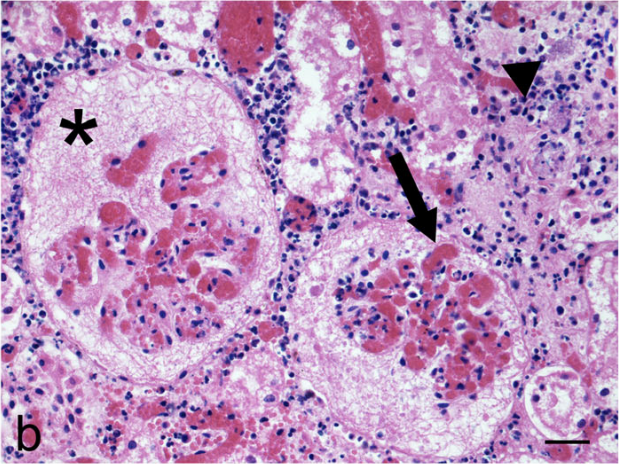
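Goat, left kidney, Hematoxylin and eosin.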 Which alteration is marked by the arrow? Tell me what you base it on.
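Congestion and dilation of glomerular capillary loop. Glomerular capillary loops are distended and packed with red material. The glomerular tufts are bright red.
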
